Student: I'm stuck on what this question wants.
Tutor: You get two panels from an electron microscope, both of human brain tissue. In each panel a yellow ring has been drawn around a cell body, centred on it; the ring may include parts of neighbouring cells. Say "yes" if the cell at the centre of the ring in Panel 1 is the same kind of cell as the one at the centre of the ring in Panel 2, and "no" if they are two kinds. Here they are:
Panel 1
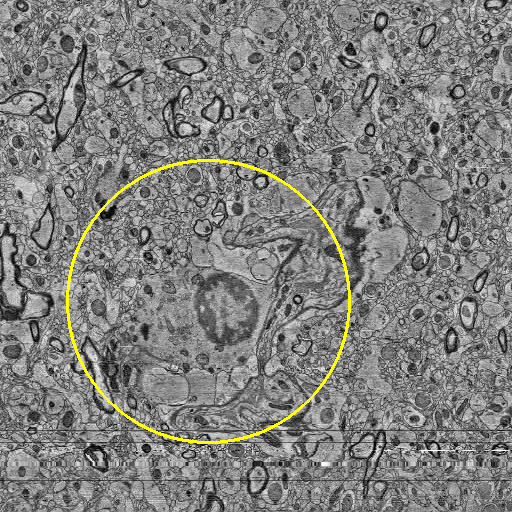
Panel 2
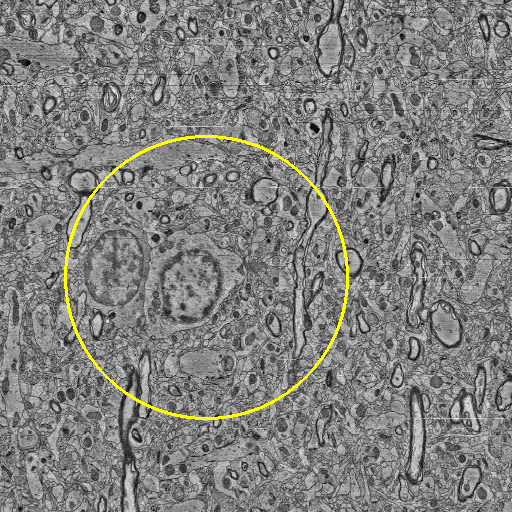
no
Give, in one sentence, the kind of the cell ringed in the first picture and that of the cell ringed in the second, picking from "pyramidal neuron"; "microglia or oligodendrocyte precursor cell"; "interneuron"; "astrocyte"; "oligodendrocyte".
For the first picture it is an oligodendrocyte; for the second, an interneuron.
